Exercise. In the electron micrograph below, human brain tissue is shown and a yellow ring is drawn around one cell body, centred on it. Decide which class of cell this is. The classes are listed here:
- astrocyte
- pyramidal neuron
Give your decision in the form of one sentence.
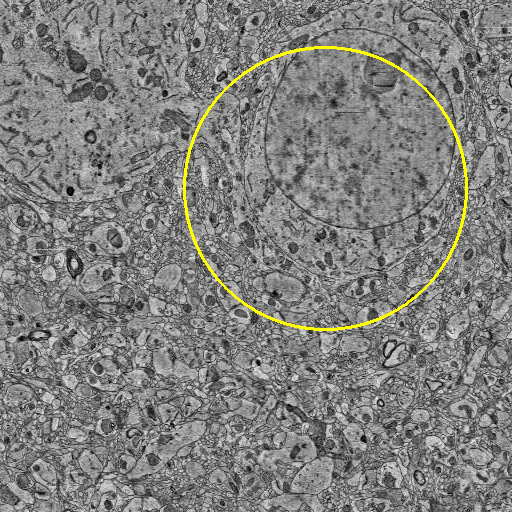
The cell body marked by the ring belongs to a pyramidal neuron.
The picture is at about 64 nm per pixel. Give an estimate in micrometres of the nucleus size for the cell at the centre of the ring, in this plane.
Approximately 13 micrometres across in this plane.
